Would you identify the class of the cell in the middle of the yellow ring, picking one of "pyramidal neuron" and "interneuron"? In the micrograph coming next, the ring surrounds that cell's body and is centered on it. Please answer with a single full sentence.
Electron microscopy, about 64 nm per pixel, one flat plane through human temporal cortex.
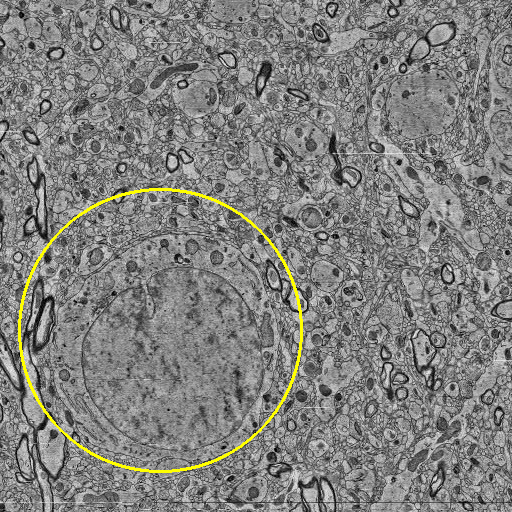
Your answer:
In the micrograph, it is an interneuron whose body lies at the ring's center.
